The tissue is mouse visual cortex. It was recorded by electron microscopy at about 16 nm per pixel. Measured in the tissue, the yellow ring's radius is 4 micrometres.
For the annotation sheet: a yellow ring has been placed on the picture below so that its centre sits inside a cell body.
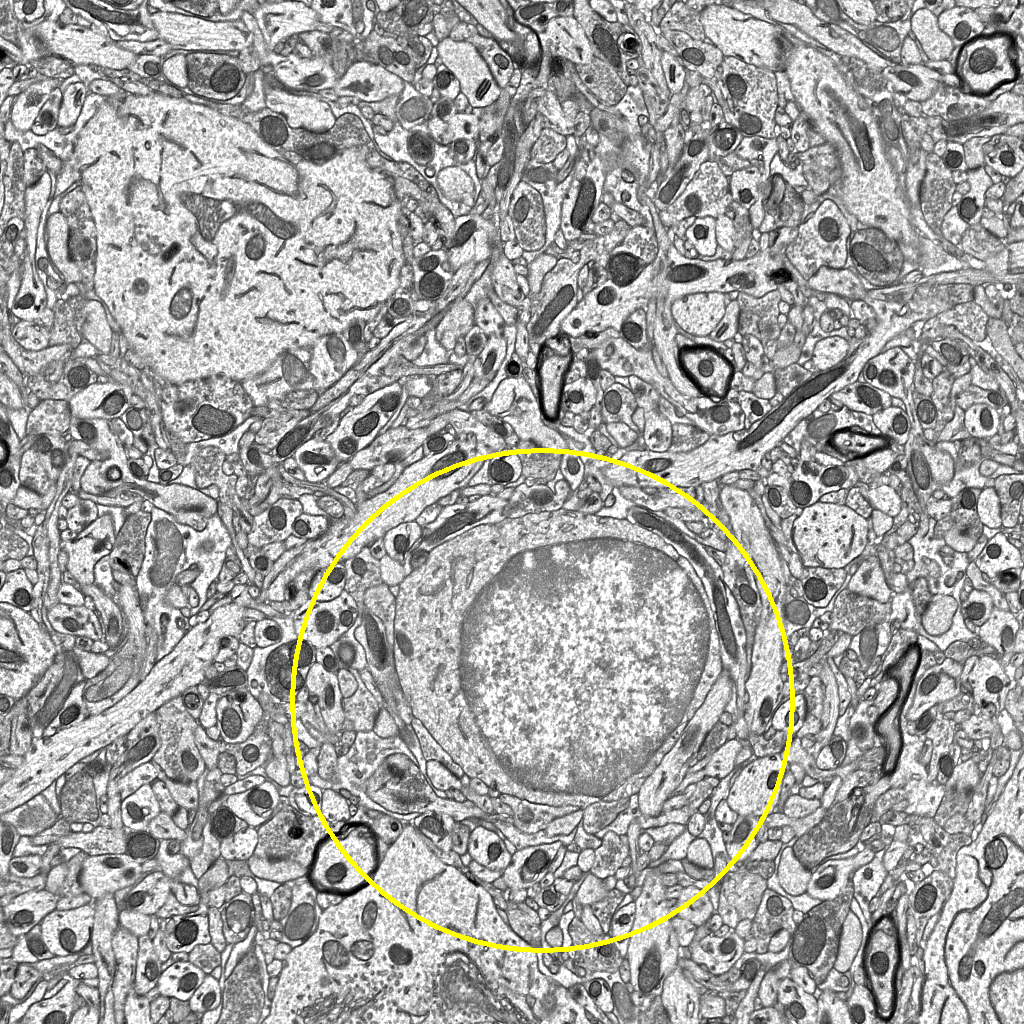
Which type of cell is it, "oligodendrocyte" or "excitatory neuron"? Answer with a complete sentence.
The cell at the ring's centre is an oligodendrocyte.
